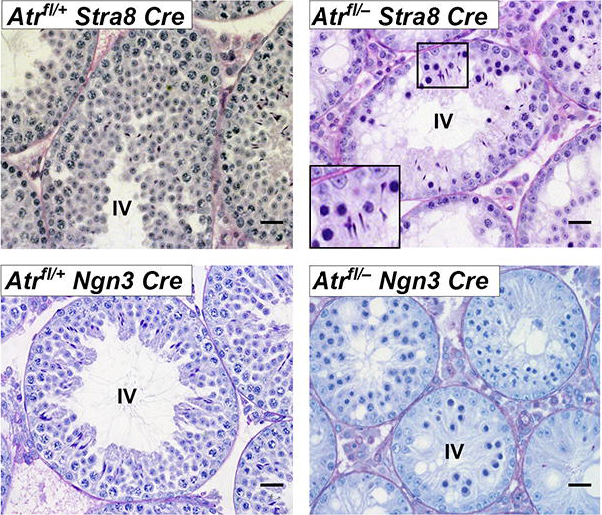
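In the upper left image the epithelium is thick and densely packed with many layers of round germ cell nuclei. In the upper right and lower right images the epithelium is thinner and more loosely populated, with pale vacuolated spaces among fewer germ cells. The inset in the upper right image enlarges a region containing cells with small, dark, elongated nuclei, elongating spermatids. The lower left image shows a well-filled tubule with several layers of germ cells and a clear central lumen.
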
